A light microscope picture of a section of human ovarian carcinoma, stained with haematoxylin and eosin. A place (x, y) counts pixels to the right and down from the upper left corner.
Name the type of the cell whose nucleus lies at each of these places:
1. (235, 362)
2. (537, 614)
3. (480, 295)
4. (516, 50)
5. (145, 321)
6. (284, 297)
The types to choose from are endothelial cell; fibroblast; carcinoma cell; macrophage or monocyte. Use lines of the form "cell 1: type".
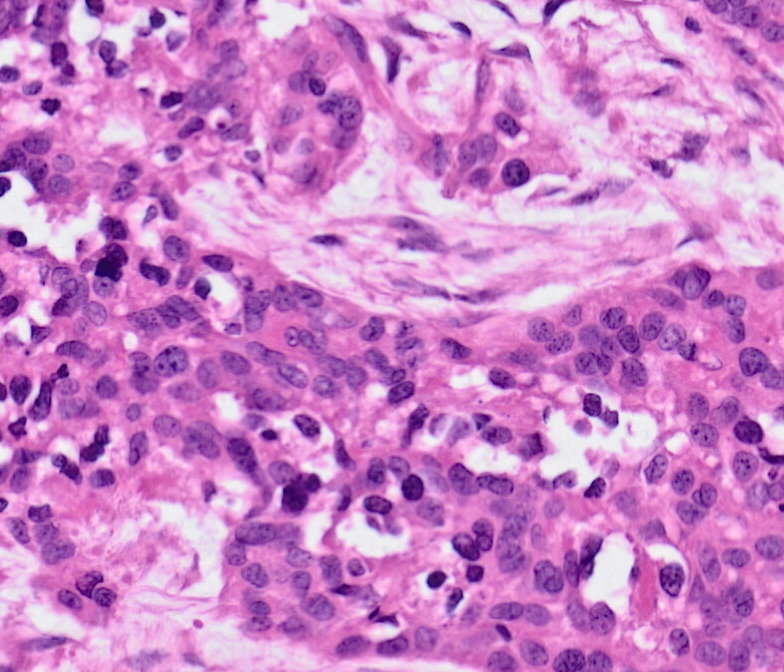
cell 1: carcinoma cell
cell 2: carcinoma cell
cell 3: fibroblast
cell 4: fibroblast
cell 5: carcinoma cell
cell 6: carcinoma cell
